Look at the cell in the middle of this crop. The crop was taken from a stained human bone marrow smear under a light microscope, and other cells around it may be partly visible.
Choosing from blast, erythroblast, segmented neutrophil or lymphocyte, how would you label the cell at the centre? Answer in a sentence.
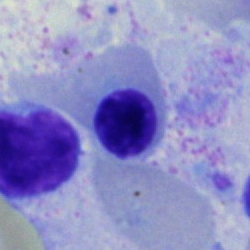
The cell the crop is centered on is an erythroblast.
